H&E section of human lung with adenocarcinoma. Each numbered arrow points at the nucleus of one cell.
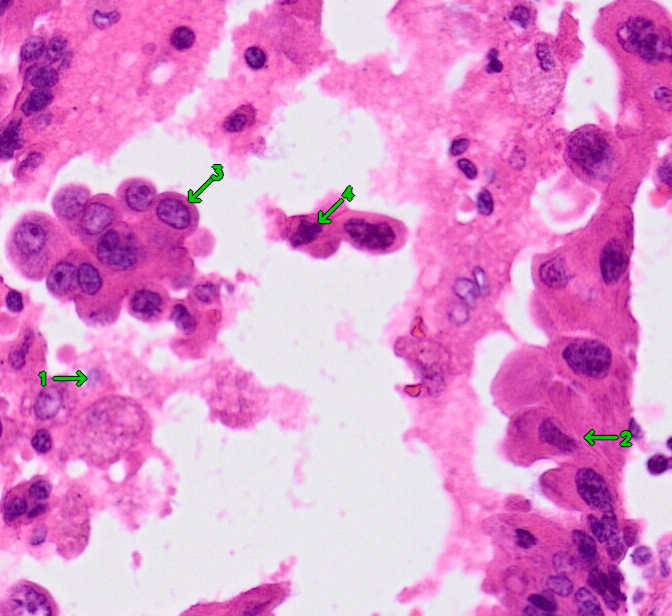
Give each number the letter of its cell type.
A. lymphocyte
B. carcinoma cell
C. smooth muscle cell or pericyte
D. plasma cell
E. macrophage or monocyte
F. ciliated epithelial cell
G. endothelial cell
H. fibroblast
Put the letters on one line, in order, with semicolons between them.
E; B; B; B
